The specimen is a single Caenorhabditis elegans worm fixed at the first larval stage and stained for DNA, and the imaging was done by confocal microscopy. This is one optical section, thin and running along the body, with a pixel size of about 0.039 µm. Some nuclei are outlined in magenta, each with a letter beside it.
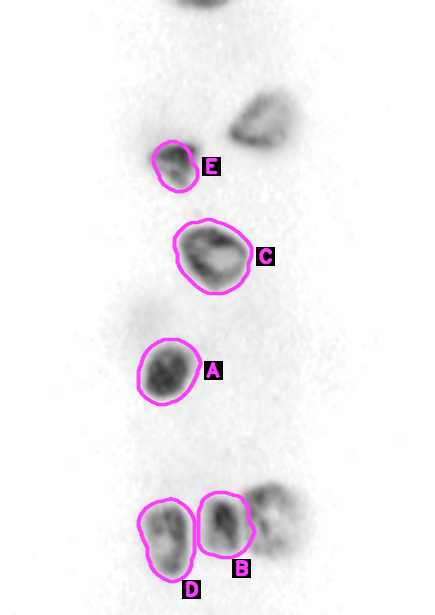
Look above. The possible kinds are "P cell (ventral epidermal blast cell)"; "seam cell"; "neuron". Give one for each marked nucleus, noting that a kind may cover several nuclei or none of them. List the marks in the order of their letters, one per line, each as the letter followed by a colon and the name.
A: neuron
B: neuron
C: seam cell
D: P cell (ventral epidermal blast cell)
E: P cell (ventral epidermal blast cell)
